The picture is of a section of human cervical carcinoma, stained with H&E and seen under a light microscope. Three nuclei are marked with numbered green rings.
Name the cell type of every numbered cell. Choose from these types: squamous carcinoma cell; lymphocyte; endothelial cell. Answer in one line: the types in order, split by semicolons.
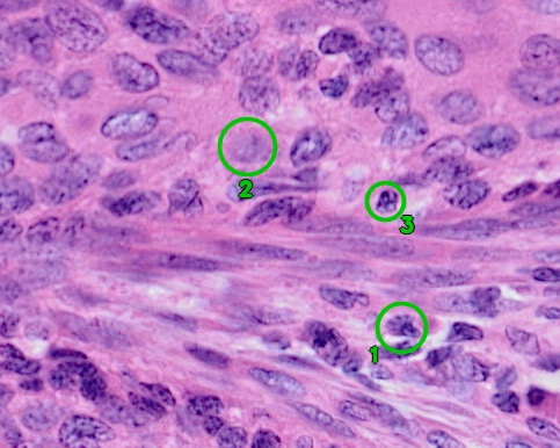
lymphocyte; squamous carcinoma cell; lymphocyte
